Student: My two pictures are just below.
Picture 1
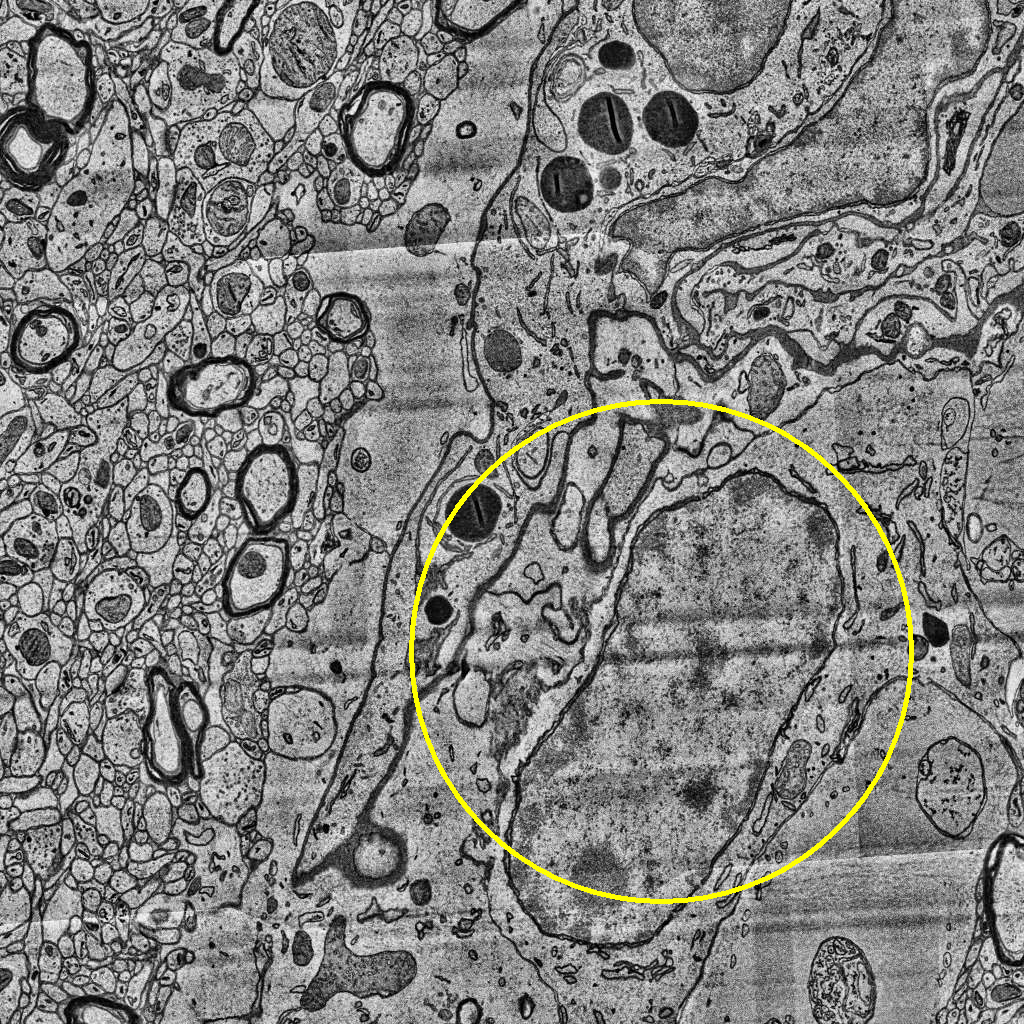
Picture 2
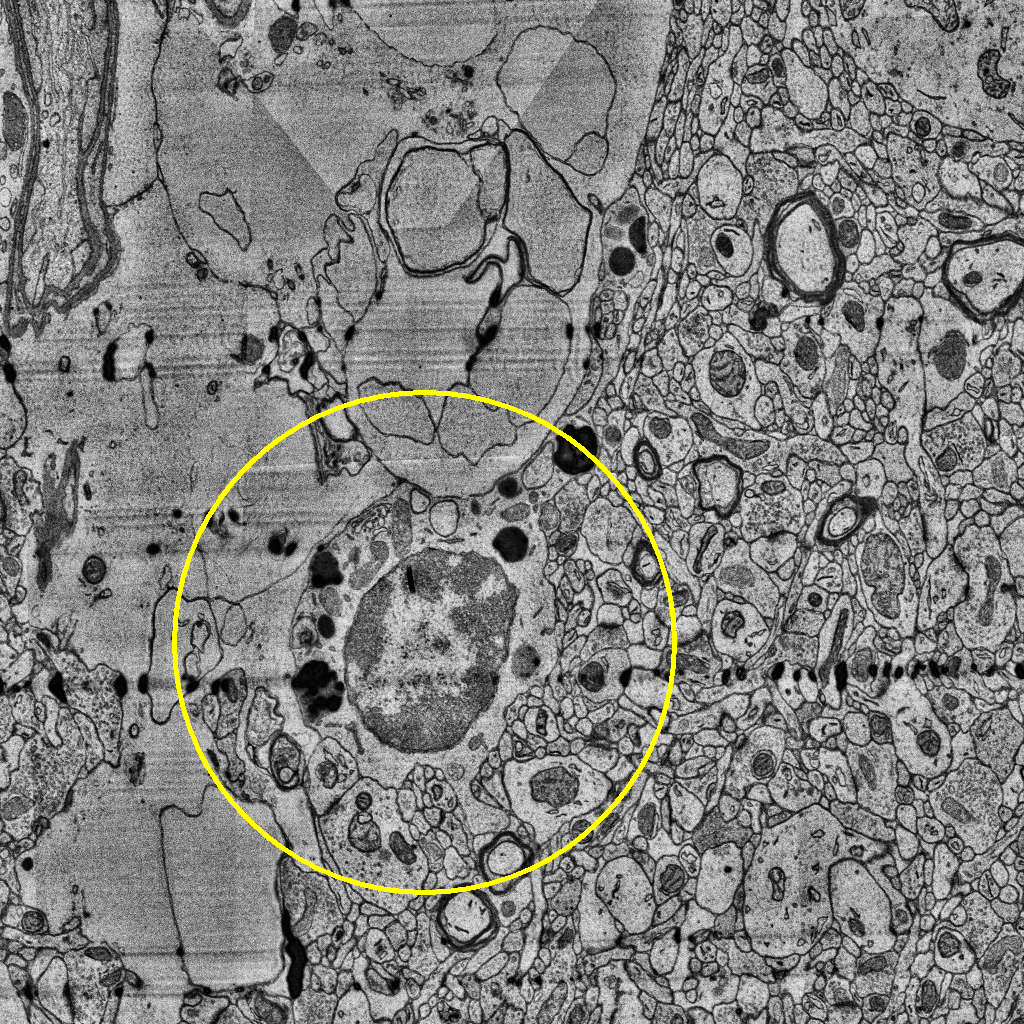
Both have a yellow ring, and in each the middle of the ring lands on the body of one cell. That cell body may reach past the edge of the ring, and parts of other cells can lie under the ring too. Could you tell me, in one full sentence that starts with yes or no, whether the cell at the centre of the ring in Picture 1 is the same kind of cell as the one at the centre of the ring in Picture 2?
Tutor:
Yes, the two cells are of the same kind.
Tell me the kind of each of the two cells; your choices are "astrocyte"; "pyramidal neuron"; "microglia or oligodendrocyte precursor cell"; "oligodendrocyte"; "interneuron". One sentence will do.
Each of the two rings surrounds a microglial cell or oligodendrocyte precursor cell.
